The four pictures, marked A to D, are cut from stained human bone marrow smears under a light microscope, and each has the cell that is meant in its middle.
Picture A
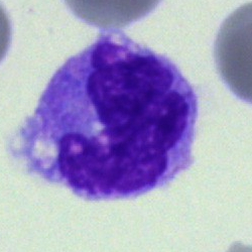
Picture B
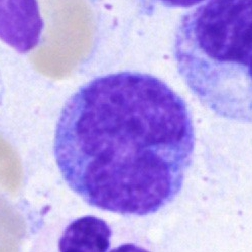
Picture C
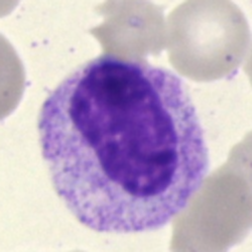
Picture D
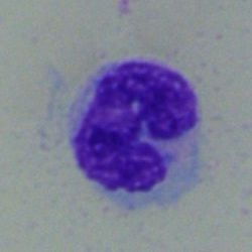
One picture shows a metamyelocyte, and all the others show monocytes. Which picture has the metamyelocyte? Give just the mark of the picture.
C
